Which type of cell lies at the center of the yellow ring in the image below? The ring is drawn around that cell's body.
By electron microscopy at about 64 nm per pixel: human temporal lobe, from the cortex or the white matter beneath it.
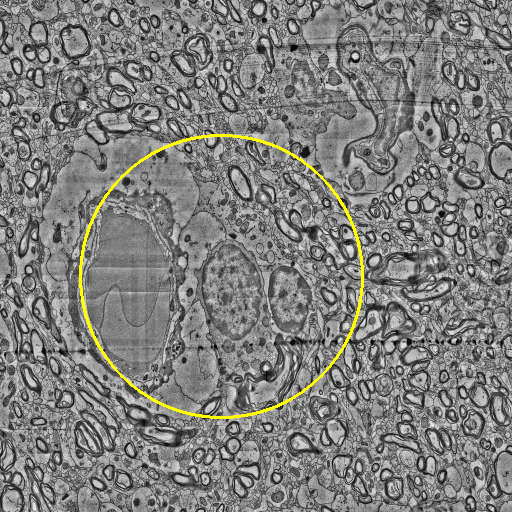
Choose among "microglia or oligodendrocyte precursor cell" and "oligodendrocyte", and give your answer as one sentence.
The cell body at the center belongs to an oligodendrocyte.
